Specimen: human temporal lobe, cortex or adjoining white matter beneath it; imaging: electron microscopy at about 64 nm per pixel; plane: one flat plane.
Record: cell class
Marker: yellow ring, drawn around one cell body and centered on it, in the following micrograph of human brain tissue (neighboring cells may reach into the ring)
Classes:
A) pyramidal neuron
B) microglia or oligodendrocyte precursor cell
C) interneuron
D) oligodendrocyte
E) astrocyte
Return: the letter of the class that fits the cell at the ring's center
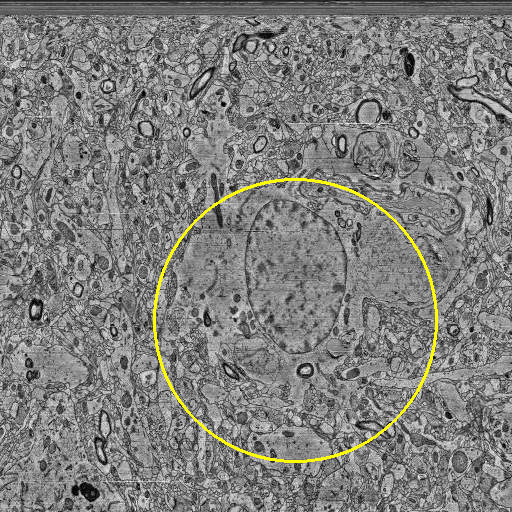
E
